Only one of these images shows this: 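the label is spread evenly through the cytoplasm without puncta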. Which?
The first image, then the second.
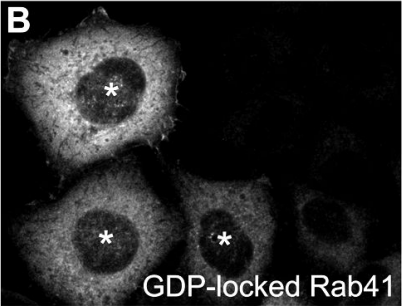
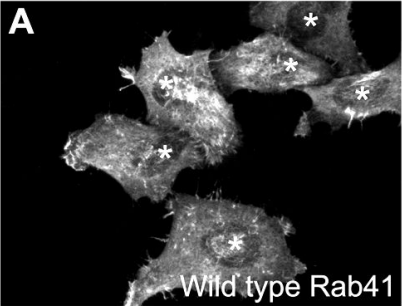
The first image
